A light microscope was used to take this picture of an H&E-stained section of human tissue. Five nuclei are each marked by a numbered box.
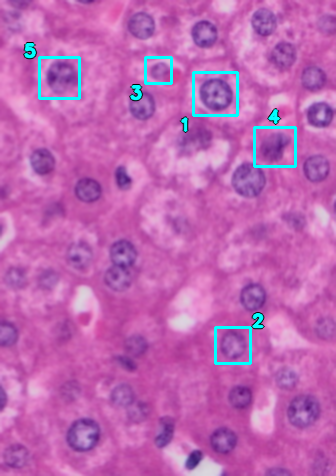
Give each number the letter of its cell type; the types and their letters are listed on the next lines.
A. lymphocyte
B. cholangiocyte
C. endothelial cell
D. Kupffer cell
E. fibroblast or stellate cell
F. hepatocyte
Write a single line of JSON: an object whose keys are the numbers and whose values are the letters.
{"1": "F", "2": "F", "3": "D", "4": "C", "5": "F"}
